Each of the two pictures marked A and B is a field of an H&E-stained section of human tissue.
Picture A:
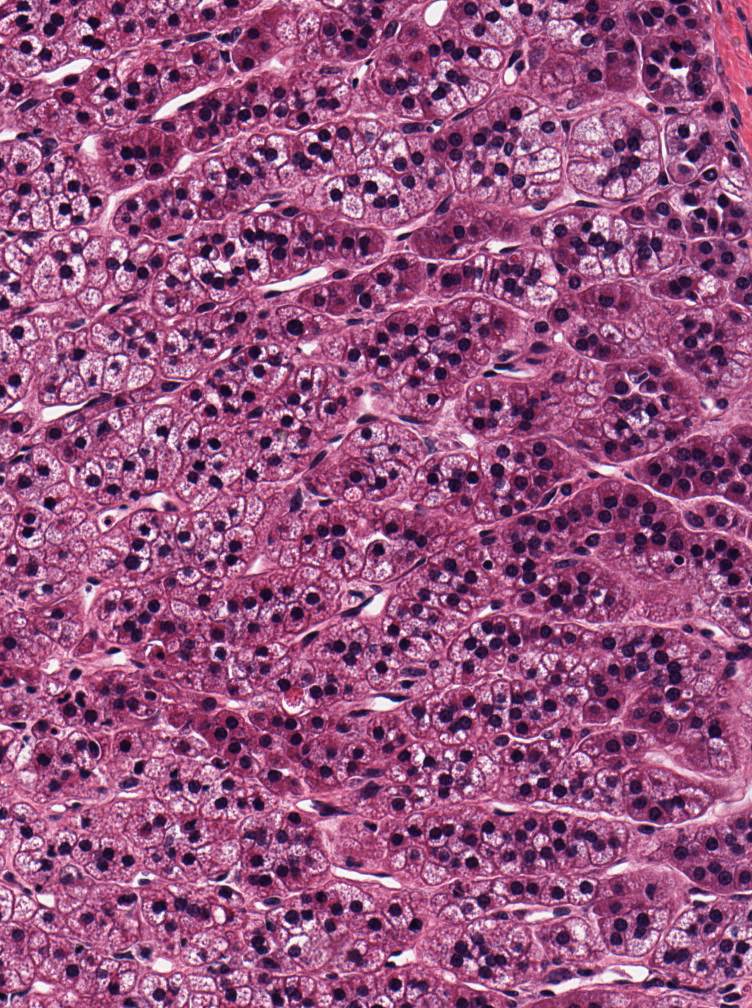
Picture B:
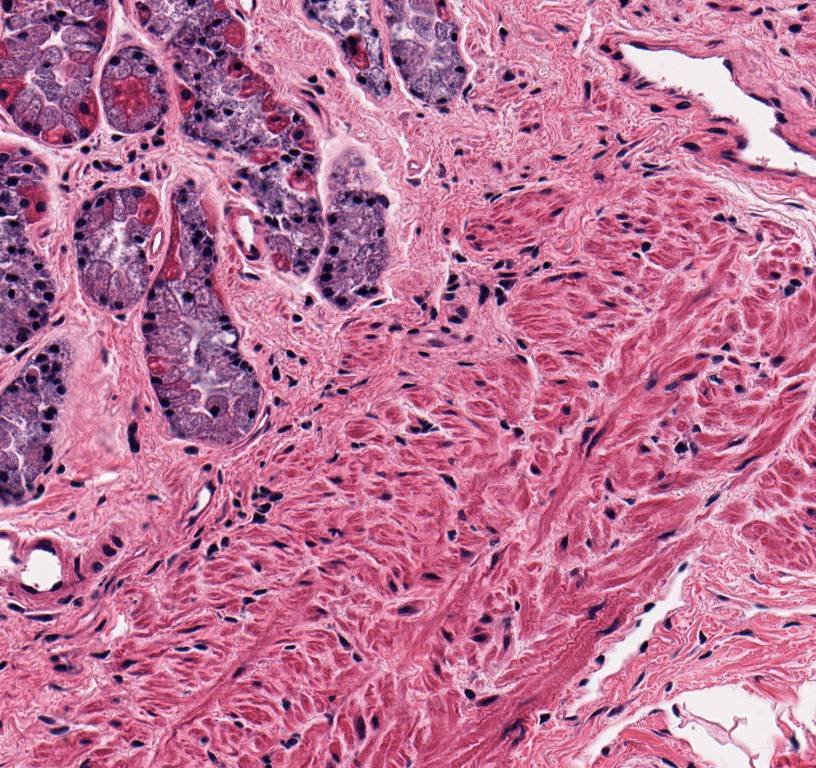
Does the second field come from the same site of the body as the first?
no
